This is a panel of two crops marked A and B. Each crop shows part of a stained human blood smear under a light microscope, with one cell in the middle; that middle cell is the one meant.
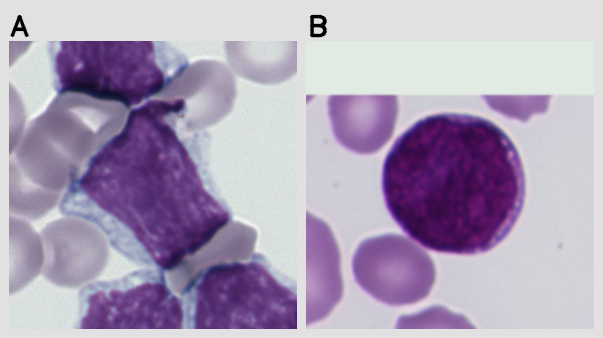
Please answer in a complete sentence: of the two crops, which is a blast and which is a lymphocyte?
Crop A holds a lymphocyte; crop B holds a blast.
